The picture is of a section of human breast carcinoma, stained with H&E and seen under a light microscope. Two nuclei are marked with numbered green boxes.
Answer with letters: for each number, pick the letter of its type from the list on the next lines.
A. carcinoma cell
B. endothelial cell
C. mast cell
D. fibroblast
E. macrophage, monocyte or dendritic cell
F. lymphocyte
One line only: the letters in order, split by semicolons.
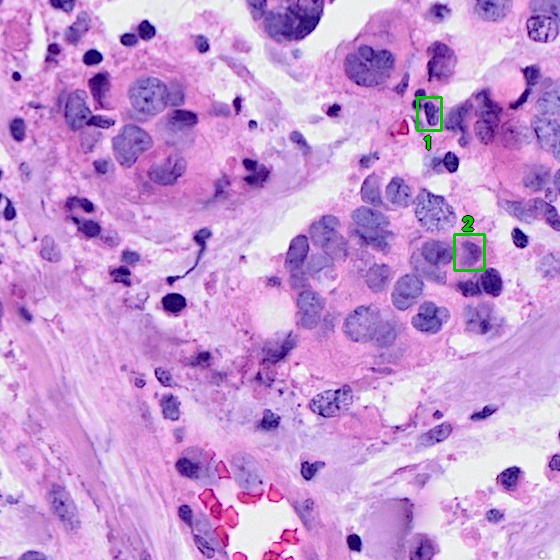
F; A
